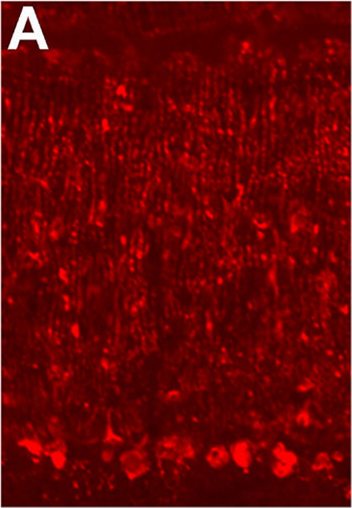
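Along the bottom edge lies a single row of large, rounded, brightly red cell bodies, and above them a broad layer is threaded with many fine red processes running roughly parallel toward the top surface. These are the Purkinje cells of the cerebellum, their somata in a row and their dendrites spreading up through the molecular layer.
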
